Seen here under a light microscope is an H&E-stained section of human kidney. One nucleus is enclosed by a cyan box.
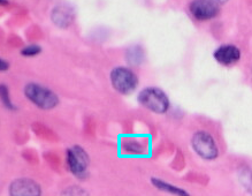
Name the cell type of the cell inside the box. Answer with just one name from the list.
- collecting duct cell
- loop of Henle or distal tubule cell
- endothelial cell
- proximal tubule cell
endothelial cell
